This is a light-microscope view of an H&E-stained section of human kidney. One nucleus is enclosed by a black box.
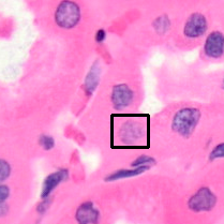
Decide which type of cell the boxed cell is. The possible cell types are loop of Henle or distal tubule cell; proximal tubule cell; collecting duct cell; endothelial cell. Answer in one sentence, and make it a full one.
On this particular slide, the boxed cell is a loop of Henle or distal tubule cell.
